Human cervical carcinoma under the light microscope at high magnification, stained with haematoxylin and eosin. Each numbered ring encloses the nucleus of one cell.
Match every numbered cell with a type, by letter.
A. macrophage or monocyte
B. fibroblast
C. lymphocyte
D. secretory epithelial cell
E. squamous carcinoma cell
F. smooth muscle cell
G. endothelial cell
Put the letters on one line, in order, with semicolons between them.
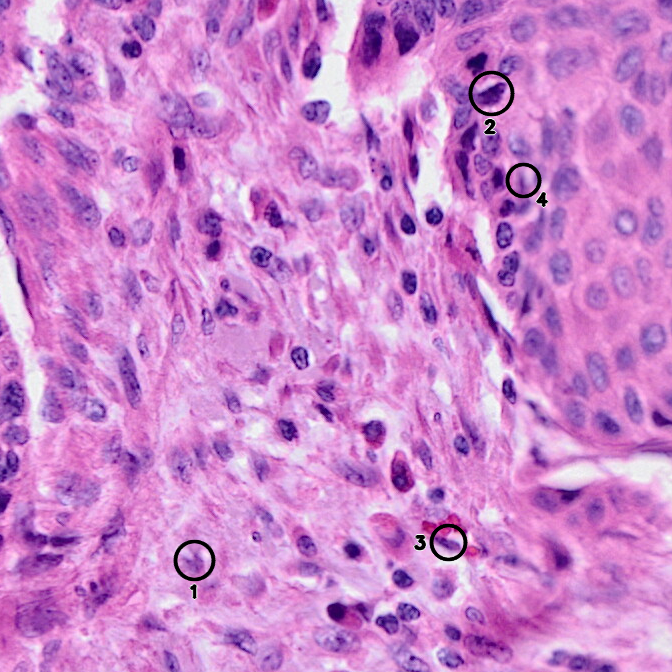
B; E; G; E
